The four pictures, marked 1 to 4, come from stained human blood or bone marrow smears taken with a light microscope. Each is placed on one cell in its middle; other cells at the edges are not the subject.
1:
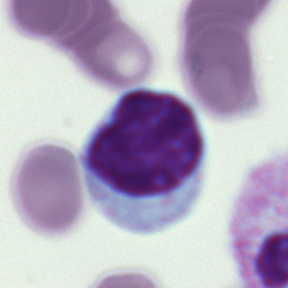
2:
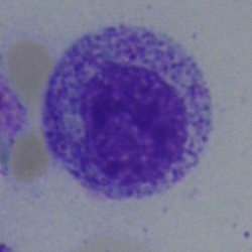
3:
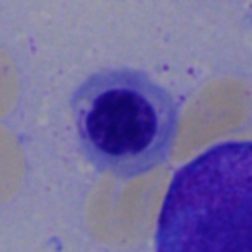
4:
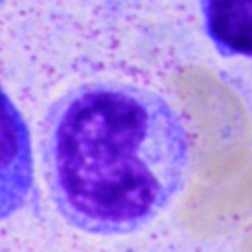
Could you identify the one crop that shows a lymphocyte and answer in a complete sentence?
The one showing a lymphocyte is the crop labelled 1.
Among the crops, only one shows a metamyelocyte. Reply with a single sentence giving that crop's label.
Crop 4 is the one depicting a metamyelocyte.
